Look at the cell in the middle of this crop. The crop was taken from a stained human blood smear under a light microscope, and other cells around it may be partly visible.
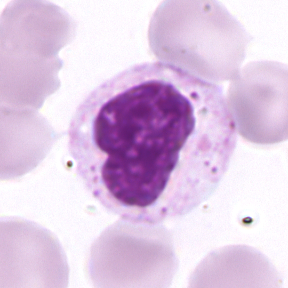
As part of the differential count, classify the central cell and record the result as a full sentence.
The cell occupying the middle of the crop is a band neutrophil.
